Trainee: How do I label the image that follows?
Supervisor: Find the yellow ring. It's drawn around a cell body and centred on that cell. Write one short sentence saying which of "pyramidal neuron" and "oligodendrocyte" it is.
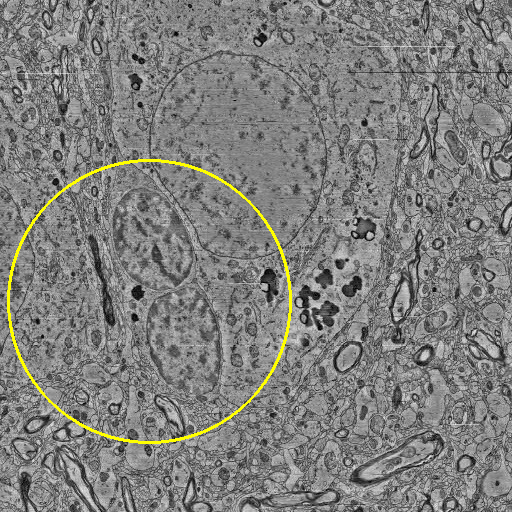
This is the cell body of an oligodendrocyte.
